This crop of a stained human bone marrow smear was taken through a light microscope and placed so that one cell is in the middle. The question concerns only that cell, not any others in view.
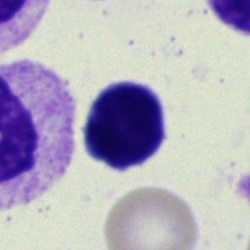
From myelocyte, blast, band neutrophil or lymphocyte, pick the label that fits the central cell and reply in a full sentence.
The cell occupying the middle of the crop is a lymphocyte.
